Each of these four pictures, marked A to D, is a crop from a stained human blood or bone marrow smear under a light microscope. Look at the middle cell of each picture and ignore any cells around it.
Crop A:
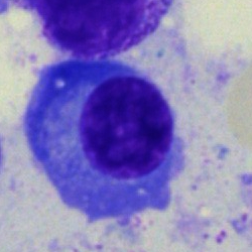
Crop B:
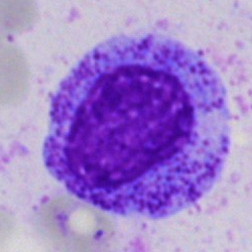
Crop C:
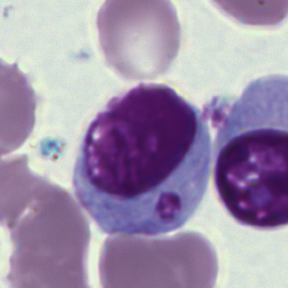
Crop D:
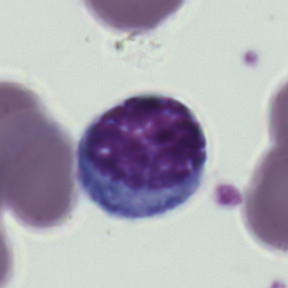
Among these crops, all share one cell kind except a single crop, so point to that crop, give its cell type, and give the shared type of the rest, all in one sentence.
Found in all crops but one are plasma cells; the exception, crop B, contains a promyelocyte.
